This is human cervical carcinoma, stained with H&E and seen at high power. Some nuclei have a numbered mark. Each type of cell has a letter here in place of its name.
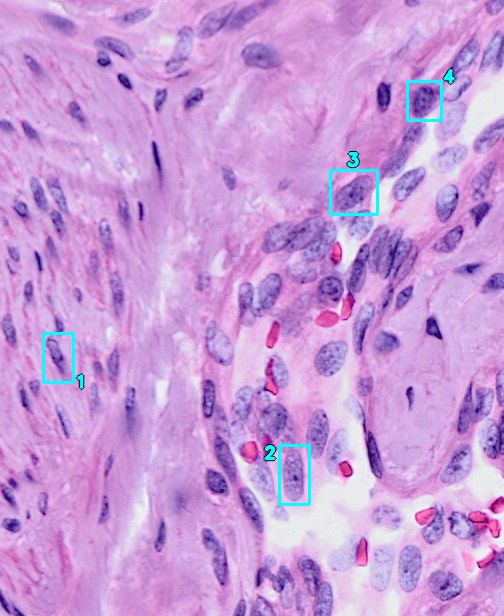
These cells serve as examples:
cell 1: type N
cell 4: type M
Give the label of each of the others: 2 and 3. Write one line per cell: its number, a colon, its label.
2: type M
3: type M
